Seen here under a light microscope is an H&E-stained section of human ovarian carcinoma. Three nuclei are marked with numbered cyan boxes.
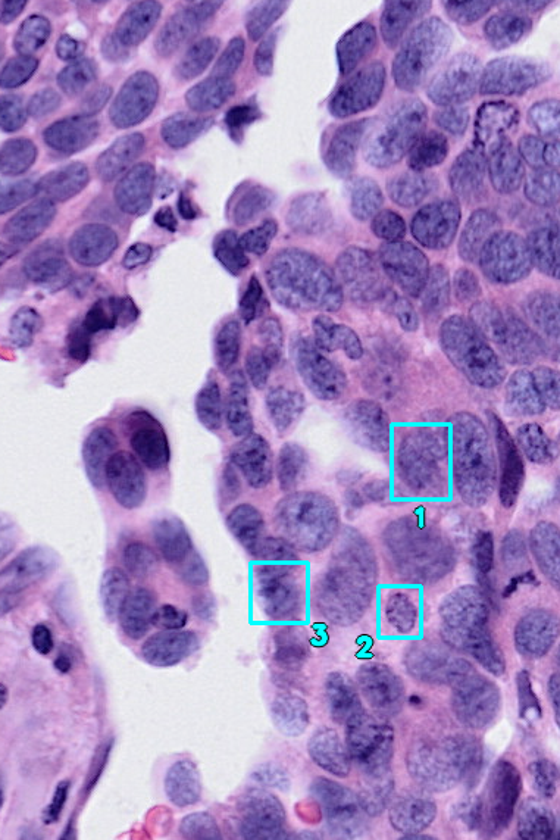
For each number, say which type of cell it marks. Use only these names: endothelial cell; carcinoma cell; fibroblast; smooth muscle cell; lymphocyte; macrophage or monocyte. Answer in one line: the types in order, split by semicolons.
carcinoma cell; macrophage or monocyte; carcinoma cell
